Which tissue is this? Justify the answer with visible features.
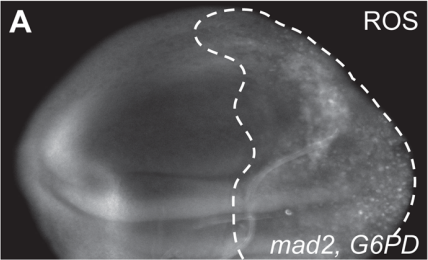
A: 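Wing disc pouch region. An oval central field ringed by concentric folds. Folded epithelial sheet typical of an imaginal disc.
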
